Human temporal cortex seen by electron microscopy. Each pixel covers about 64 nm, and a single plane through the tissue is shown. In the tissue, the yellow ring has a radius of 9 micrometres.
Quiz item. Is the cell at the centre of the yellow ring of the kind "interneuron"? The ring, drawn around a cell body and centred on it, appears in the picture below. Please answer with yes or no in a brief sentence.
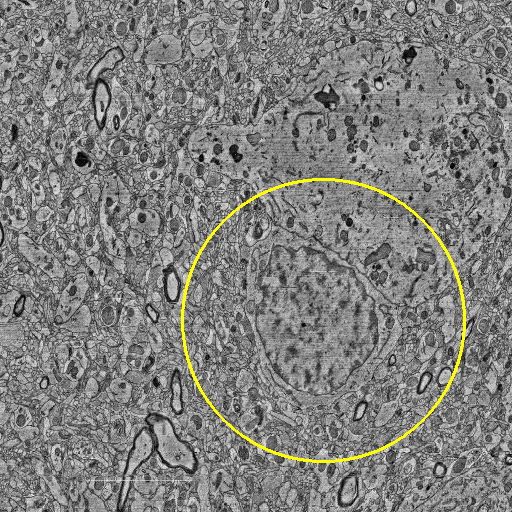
Yes, it is that kind of cell.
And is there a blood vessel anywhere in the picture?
No, no blood vessel shows in the picture.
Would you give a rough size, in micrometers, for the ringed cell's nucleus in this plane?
In this plane the nucleus measures roughly 10 by 8 micrometres.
